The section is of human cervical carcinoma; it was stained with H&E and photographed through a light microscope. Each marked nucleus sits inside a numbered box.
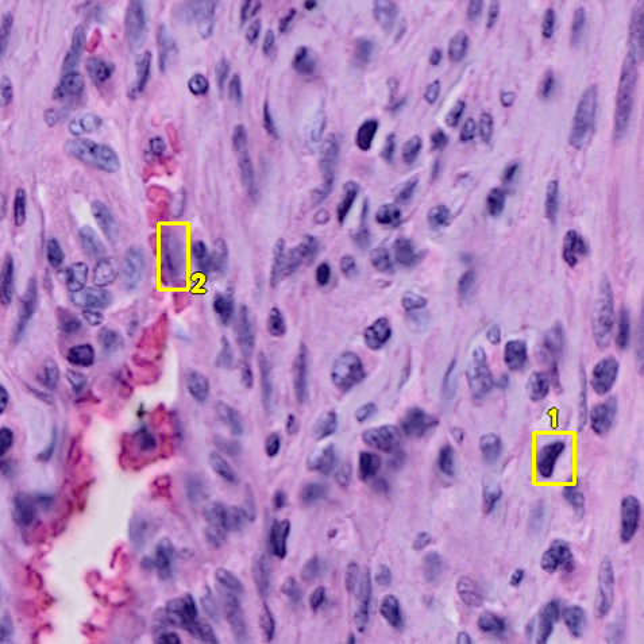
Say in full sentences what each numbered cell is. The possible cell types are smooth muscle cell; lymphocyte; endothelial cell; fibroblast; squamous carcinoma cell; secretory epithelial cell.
Cell 1 is a lymphocyte and cell 2 is an endothelial cell.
